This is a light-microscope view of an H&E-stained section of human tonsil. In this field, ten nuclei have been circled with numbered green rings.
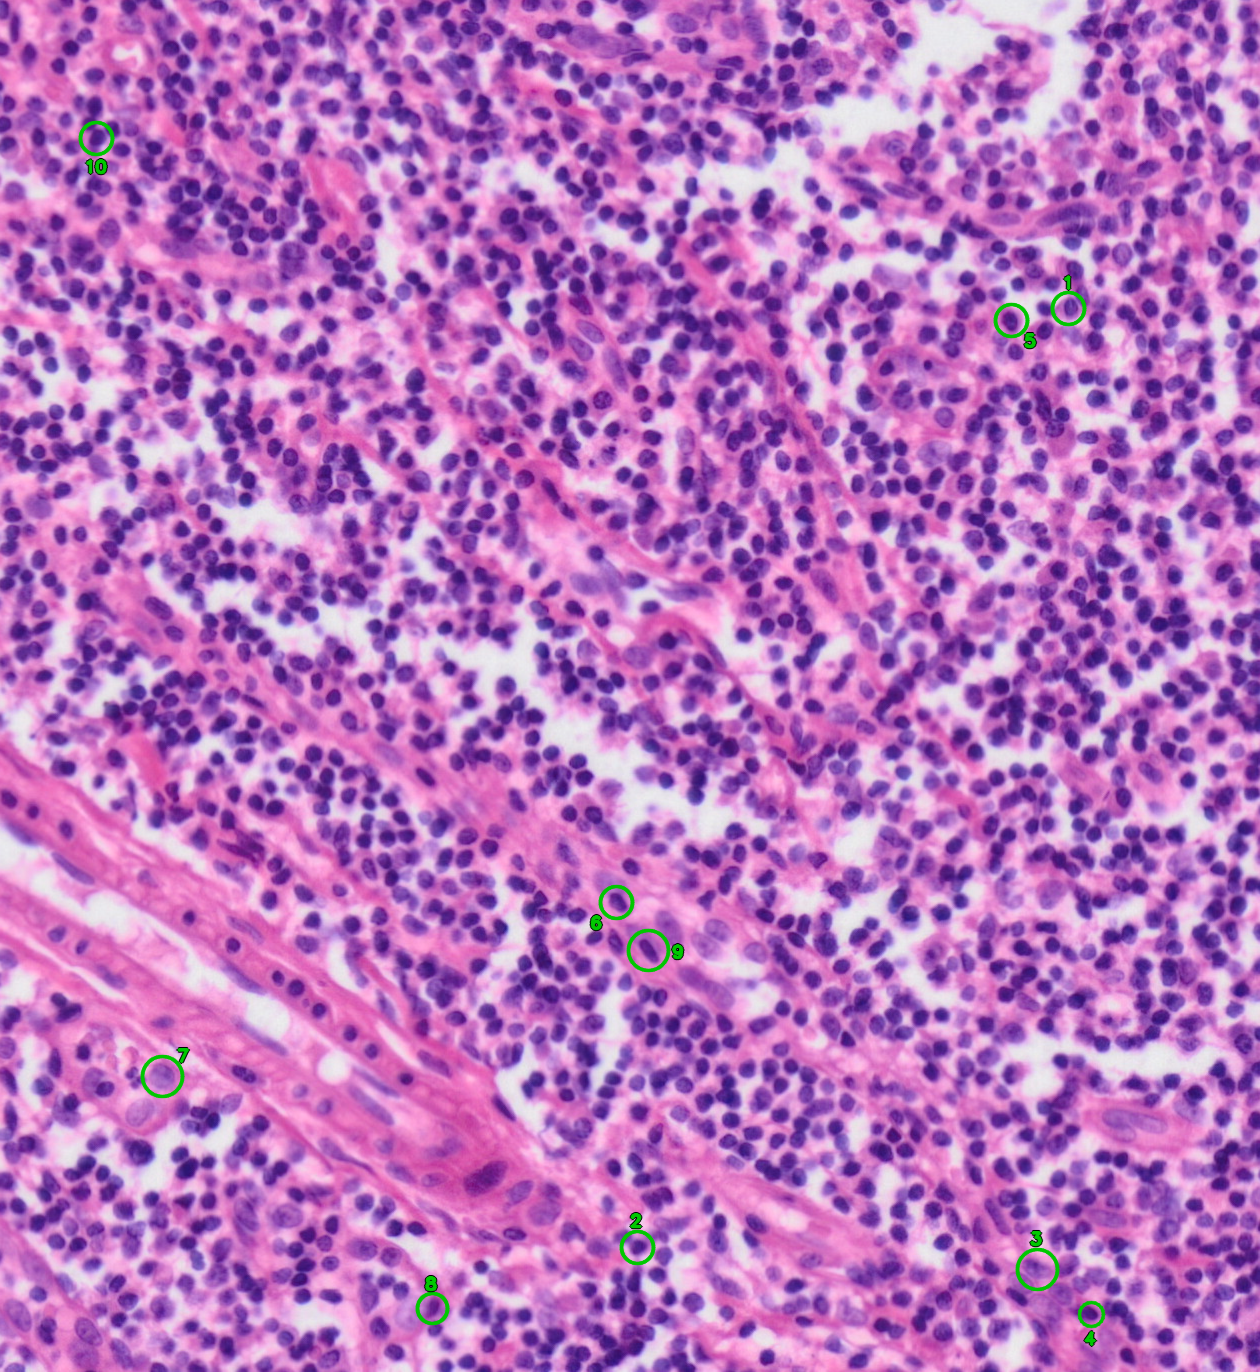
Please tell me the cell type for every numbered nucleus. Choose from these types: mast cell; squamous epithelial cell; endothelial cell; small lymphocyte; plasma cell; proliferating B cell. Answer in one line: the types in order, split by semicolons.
plasma cell; small lymphocyte; endothelial cell; endothelial cell; plasma cell; endothelial cell; endothelial cell; endothelial cell; endothelial cell; small lymphocyte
